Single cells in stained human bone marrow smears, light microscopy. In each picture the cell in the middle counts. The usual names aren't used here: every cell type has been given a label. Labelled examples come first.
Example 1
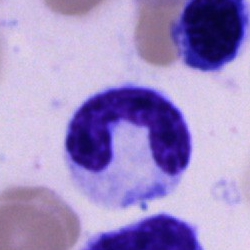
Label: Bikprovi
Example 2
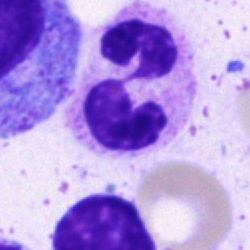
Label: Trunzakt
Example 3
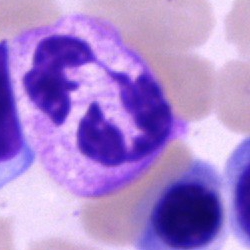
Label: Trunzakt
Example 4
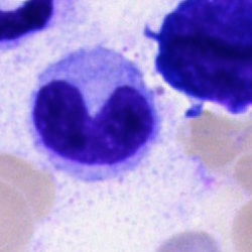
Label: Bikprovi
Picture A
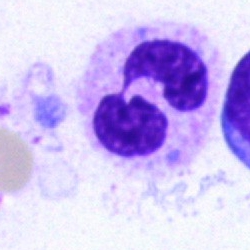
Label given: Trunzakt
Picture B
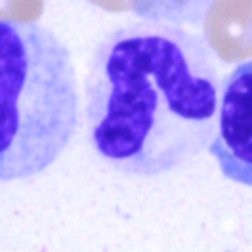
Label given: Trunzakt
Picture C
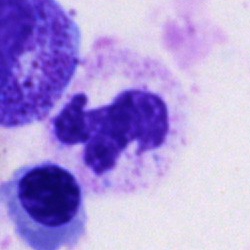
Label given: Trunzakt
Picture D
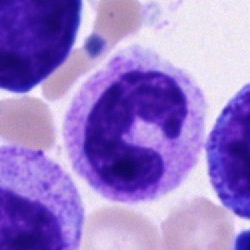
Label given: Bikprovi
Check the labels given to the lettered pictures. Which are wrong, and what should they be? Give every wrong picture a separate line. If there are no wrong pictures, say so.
B: Bikprovi, not Trunzakt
